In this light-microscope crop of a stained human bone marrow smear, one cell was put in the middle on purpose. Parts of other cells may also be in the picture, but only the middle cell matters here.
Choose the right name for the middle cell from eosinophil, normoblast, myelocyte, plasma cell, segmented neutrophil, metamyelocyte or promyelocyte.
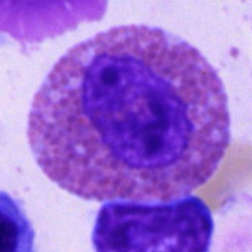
eosinophil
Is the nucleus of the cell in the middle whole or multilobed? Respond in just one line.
The nucleus holds together as a single compact mass, round, oval or kidney-like.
